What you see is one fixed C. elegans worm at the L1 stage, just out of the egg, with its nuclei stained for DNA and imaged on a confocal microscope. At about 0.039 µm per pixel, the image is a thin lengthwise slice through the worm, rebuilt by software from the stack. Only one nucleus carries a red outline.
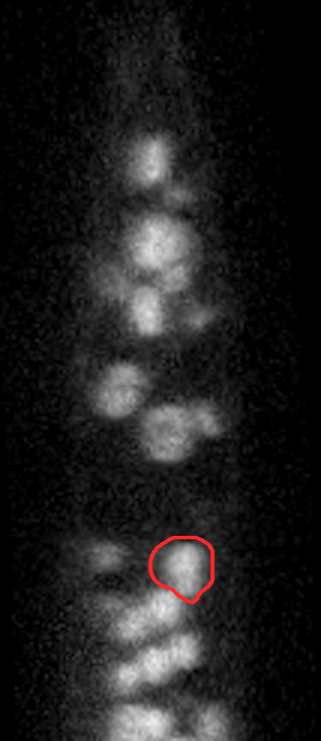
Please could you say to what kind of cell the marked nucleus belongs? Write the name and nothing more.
neuron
